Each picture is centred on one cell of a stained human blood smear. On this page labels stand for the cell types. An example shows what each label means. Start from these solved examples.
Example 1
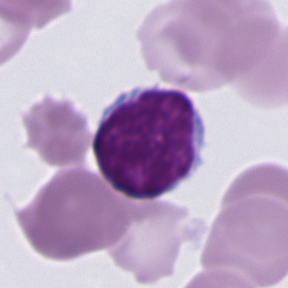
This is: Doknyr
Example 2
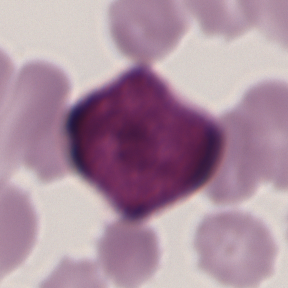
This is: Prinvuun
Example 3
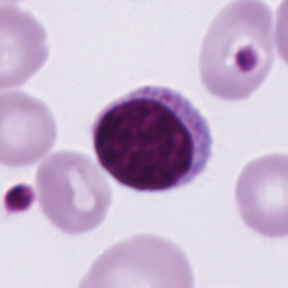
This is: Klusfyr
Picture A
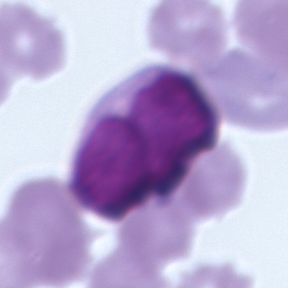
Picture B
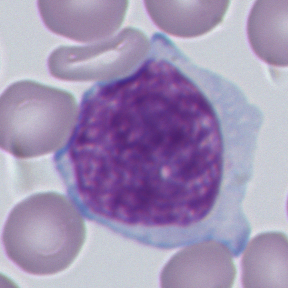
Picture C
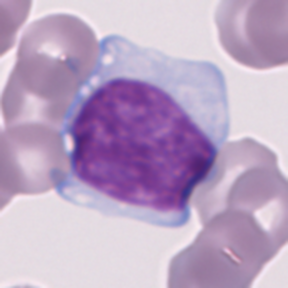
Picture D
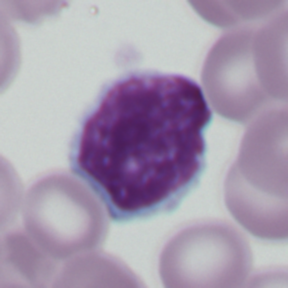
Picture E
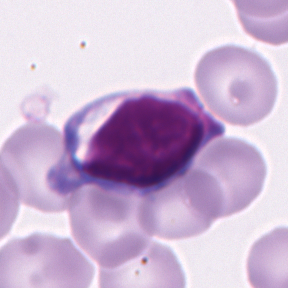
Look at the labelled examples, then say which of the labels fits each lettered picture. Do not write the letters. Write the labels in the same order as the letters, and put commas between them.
Prinvuun, Prinvuun, Prinvuun, Doknyr, Doknyr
